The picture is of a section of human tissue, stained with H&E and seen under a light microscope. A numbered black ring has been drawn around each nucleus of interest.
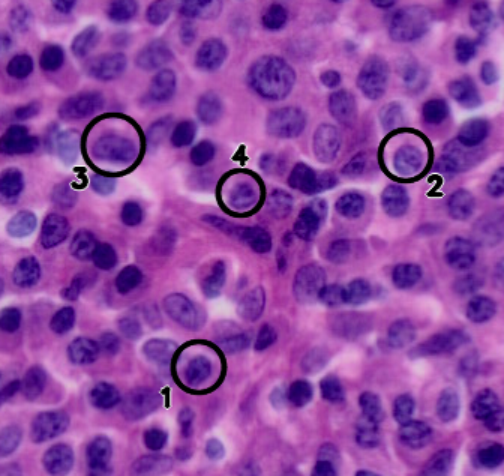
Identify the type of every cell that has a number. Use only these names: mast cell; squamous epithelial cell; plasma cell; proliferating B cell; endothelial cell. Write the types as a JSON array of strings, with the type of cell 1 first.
["plasma cell", "plasma cell", "squamous epithelial cell", "plasma cell"]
